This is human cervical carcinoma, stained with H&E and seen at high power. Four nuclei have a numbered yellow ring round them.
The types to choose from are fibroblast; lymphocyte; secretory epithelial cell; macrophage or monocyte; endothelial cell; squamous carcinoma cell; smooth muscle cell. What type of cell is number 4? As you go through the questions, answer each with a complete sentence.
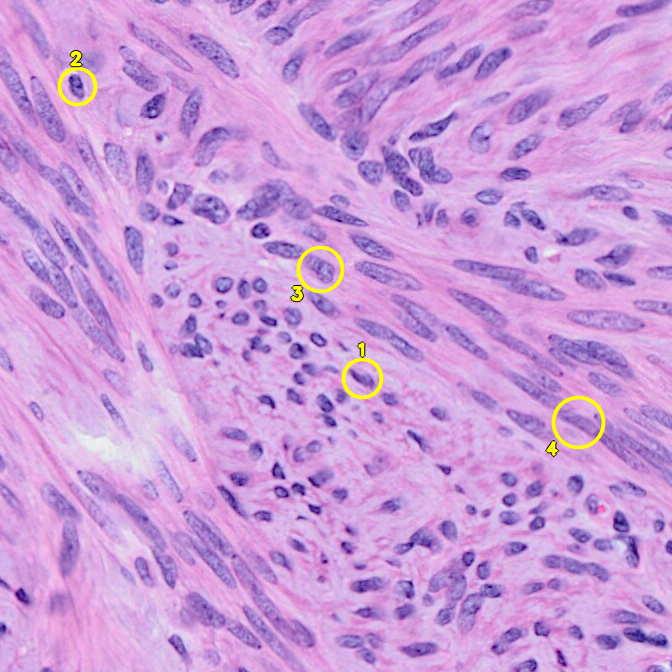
At number 4, the marked cell is a smooth muscle cell.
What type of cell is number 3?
Looking at the numbered marks, cell 3 is a smooth muscle cell.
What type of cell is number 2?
The identity of cell 2 is that of a lymphocyte.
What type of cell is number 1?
What the number 1 marks in this field is a smooth muscle cell.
